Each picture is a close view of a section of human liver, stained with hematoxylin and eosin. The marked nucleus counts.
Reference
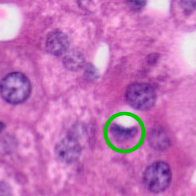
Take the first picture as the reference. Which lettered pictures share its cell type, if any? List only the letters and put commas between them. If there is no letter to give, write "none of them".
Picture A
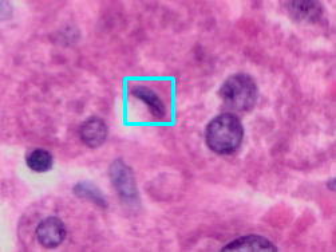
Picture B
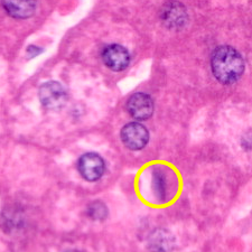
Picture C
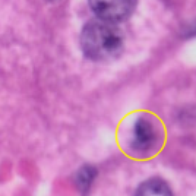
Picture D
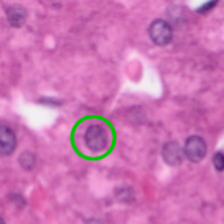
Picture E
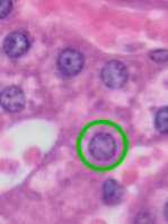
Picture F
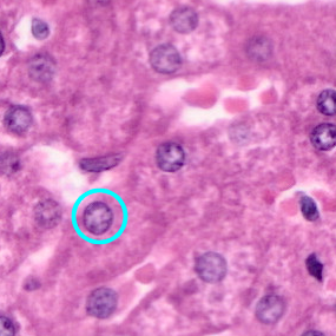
A, B, C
